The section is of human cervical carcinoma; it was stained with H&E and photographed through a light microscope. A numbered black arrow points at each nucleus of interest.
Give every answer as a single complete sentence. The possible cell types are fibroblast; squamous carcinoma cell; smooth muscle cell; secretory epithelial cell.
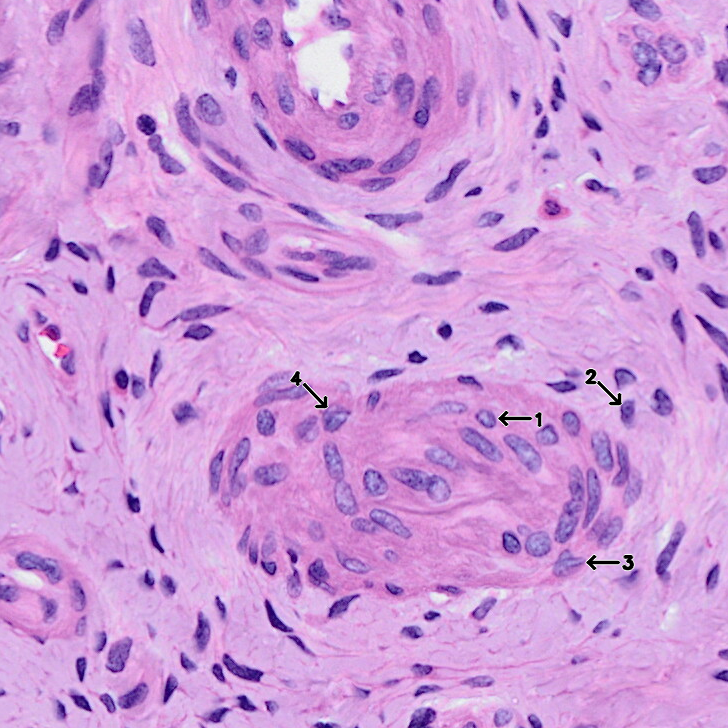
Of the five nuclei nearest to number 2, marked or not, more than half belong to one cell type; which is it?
Smooth muscle cells make up most of the five nuclei closest to number 2.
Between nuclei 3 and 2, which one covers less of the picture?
Nucleus 2 is the smaller one; nucleus 3 covers about 2 times its area.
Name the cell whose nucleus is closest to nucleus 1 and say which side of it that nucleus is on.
The nearest nucleus is that of a smooth muscle cell and lies below nucleus 1.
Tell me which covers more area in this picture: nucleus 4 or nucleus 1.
Of the two, number 4 is bigger and takes up about 2 times the area of number 1.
